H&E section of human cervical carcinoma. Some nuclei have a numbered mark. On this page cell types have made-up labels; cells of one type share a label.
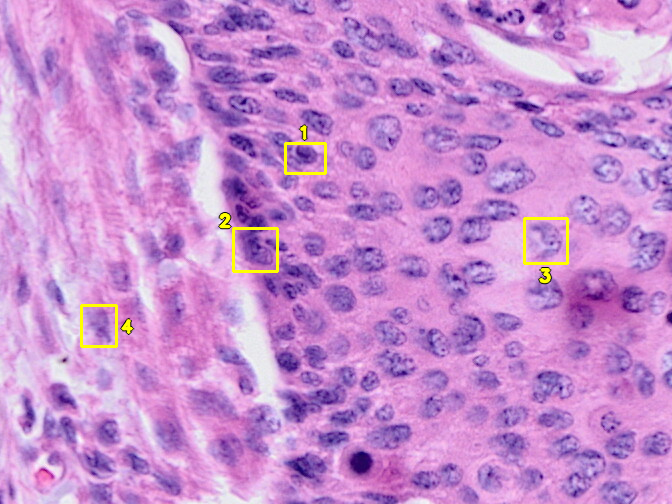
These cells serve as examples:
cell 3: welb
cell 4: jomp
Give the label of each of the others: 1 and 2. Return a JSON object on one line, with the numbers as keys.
{"1": "welb", "2": "welb"}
